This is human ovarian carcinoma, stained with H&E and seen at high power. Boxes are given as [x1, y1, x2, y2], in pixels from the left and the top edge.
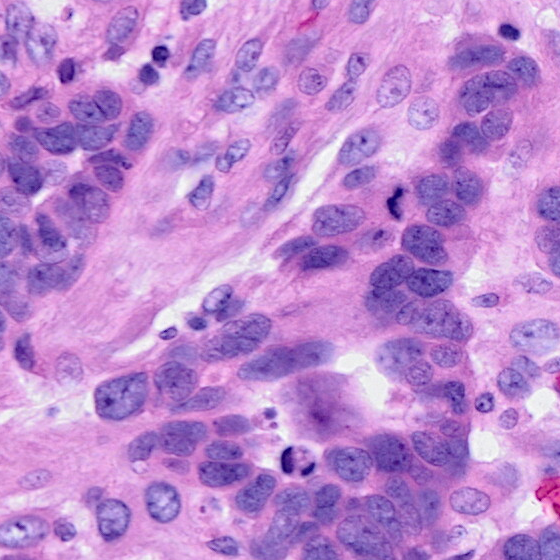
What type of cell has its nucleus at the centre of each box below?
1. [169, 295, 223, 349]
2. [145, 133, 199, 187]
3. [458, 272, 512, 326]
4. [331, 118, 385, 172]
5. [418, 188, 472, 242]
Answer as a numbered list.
1. lymphocyte
2. fibroblast
3. macrophage or monocyte
4. fibroblast
5. carcinoma cell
